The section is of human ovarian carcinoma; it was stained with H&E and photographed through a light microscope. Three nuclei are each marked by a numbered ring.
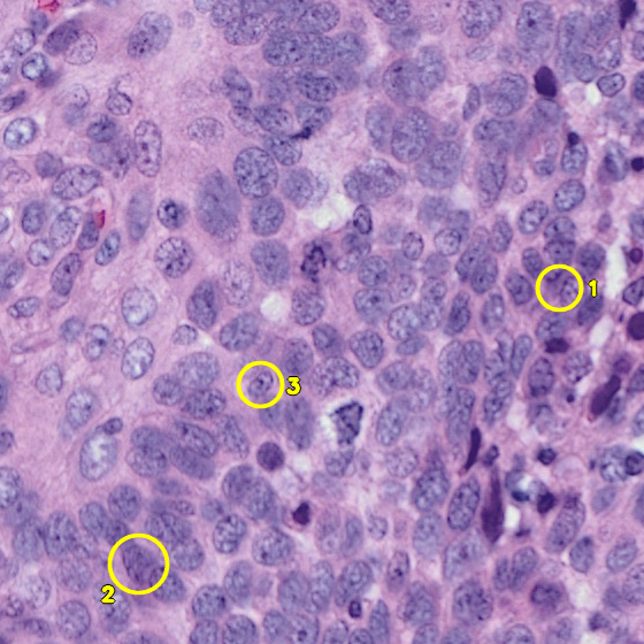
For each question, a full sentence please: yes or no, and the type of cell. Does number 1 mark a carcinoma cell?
Yes, cell 1 is a carcinoma cell in this tissue section.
